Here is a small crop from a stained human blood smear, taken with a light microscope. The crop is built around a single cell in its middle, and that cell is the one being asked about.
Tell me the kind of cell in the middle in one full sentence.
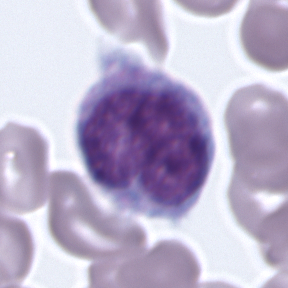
The centrally placed cell is classified as a monocyte.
